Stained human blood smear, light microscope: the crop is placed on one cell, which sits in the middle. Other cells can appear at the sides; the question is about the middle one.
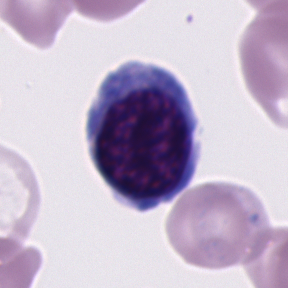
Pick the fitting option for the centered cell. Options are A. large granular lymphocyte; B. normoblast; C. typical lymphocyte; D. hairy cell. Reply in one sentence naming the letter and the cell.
It is a normoblast that occupies the centre of the crop, so option B is correct.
